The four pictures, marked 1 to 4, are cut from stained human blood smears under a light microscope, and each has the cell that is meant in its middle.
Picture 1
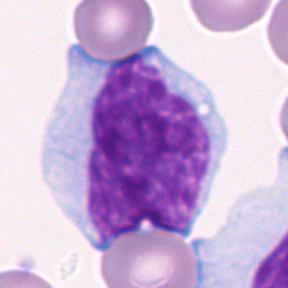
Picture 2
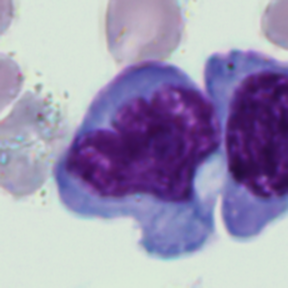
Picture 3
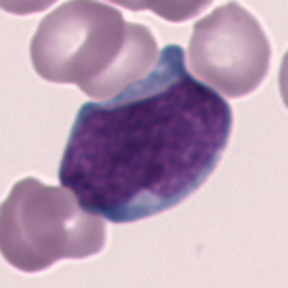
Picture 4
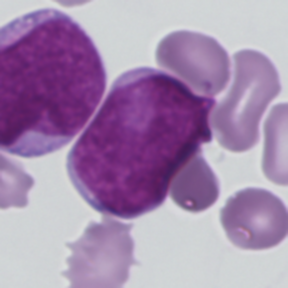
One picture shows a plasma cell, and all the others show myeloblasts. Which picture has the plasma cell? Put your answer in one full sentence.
The cell in picture 2 is the plasma cell.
